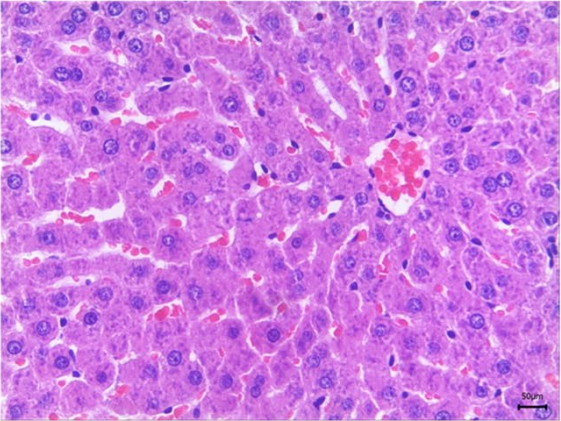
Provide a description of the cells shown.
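This is liver tissue with hepatocytes arranged in cords that radiate from a central vessel filled with red blood cells. The hepatocytes are large polygonal cells with pink cytoplasm and round, centrally placed nuclei, many with a visible nucleolus, and a few cells carry two nuclei. Between the cords run narrow, fairly regular sinusoidal channels, some holding red blood cells. Small dark elongated nuclei along the channels belong to lining cells.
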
